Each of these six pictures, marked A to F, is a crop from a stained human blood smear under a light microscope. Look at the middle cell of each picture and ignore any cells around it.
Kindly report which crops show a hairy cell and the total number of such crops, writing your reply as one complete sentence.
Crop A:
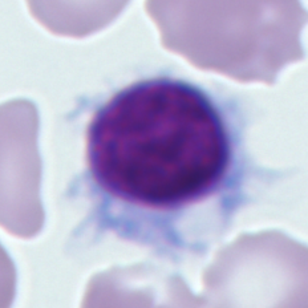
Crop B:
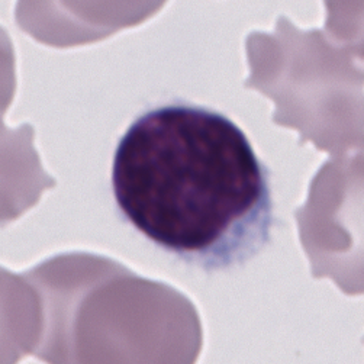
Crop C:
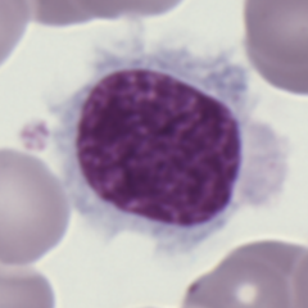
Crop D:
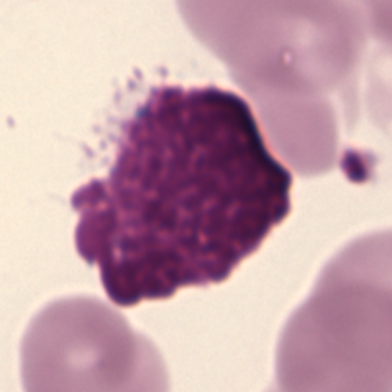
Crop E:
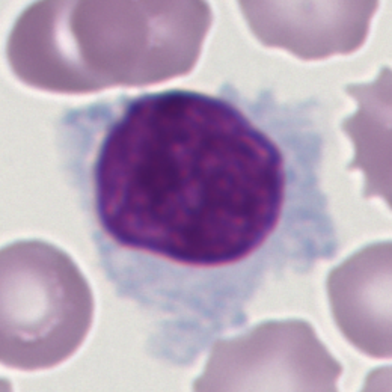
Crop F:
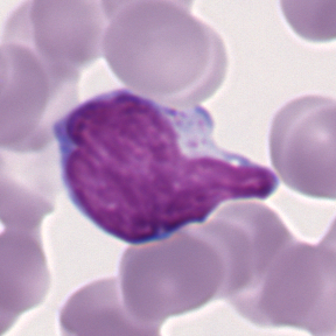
Among the crops, A, B, C and E show hairy cells, making four in total.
